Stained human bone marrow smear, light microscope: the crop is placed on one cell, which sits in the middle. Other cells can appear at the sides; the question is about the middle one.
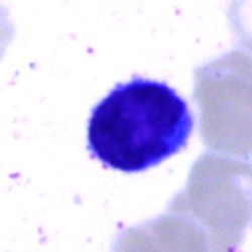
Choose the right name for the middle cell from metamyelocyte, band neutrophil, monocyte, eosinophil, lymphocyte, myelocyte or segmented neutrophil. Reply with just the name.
lymphocyte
